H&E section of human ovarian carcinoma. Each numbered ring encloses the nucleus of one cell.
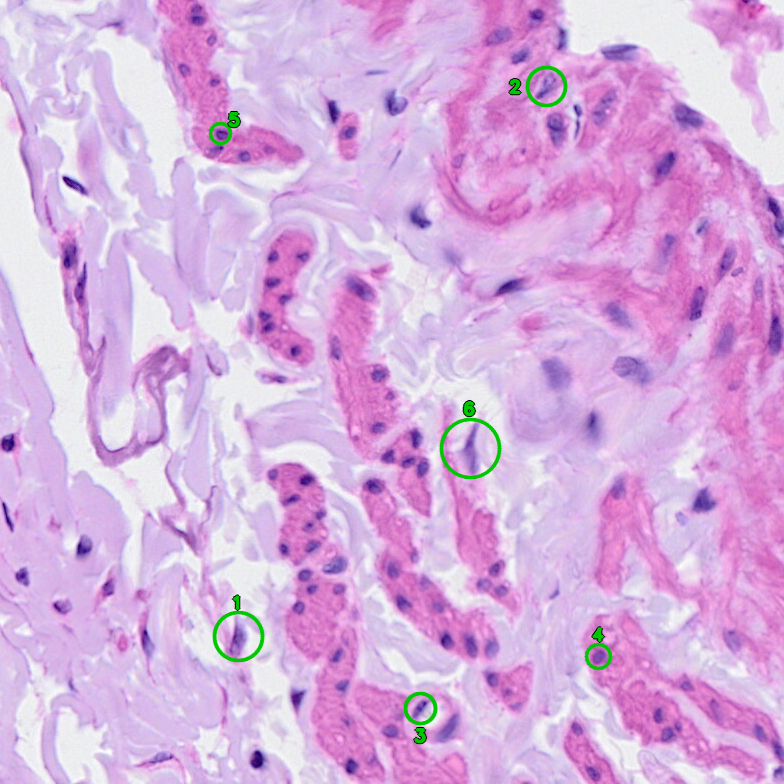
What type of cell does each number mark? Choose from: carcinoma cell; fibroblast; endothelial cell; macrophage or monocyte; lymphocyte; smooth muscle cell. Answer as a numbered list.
1. fibroblast
2. endothelial cell
3. endothelial cell
4. smooth muscle cell
5. smooth muscle cell
6. fibroblast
